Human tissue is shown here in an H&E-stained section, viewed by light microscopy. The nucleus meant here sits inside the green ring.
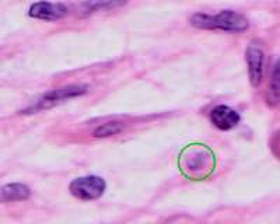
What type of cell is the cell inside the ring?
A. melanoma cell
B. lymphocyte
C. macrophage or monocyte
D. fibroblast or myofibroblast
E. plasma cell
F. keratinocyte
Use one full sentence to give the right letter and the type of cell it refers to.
Looking at the options, pick C; the cell inside the ring is a macrophage or monocyte.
